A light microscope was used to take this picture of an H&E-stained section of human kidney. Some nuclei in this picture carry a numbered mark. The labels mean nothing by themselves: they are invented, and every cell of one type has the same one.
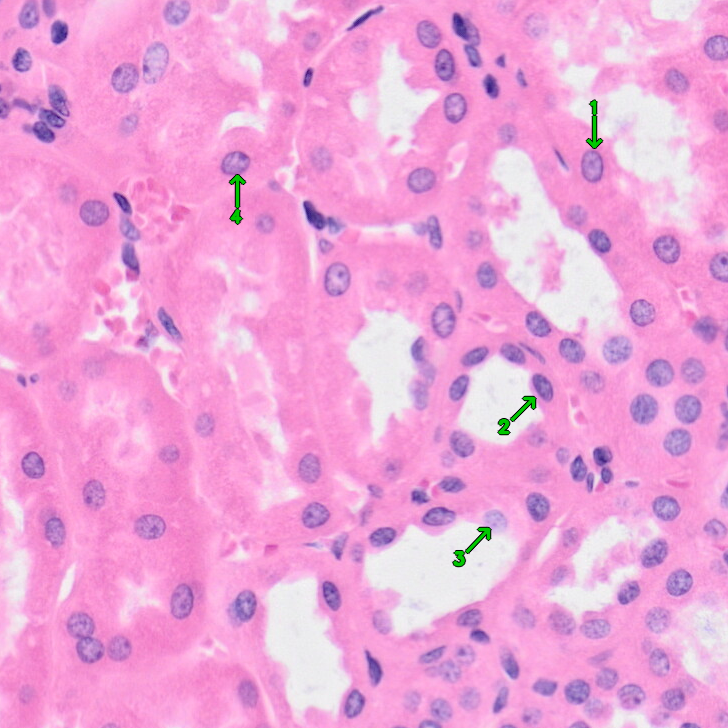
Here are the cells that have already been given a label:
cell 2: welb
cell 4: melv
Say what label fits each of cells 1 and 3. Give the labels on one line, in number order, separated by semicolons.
melv; welb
